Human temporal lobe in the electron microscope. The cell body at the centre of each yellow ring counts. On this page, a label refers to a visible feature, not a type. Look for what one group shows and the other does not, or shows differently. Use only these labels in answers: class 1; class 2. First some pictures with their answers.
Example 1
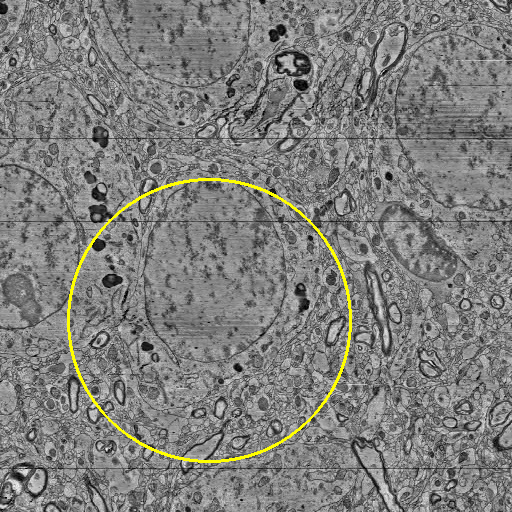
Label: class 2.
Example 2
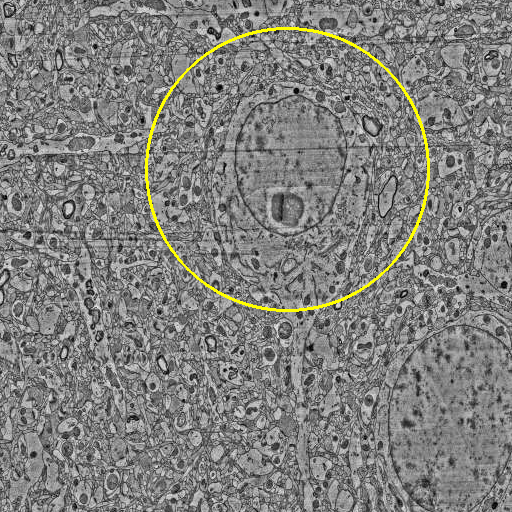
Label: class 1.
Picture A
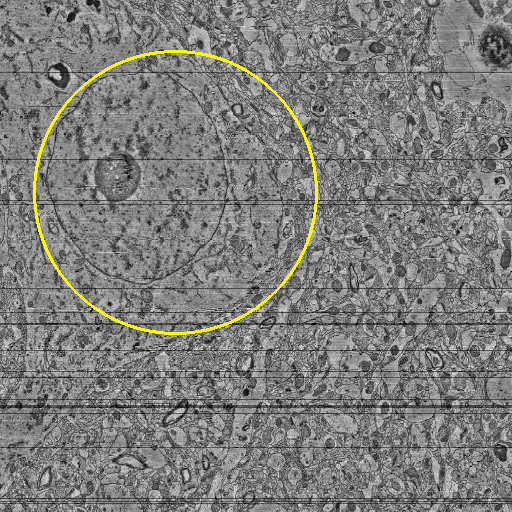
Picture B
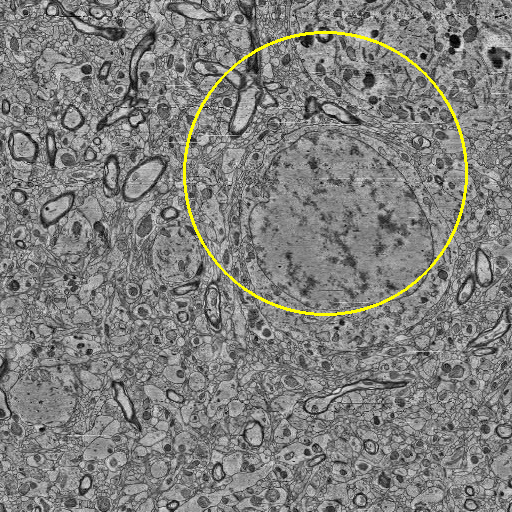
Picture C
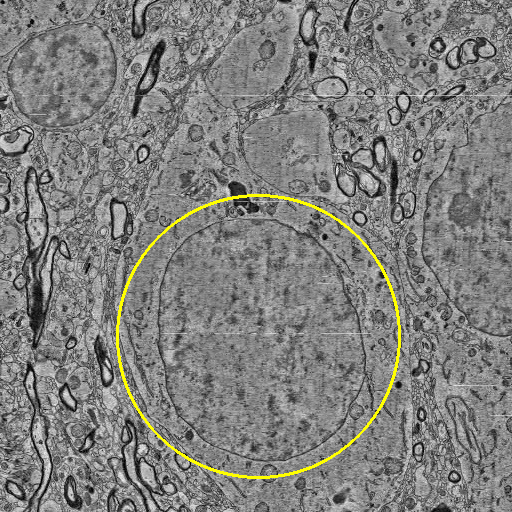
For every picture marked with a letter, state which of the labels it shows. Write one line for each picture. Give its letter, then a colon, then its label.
A: class 1.
B: class 2.
C: class 2.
